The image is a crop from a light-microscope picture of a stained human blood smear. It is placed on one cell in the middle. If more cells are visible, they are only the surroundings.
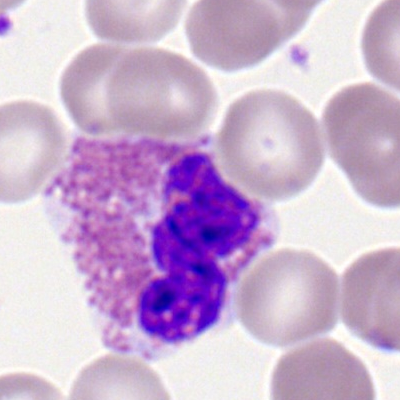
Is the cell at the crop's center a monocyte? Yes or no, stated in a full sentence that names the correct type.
No, the centre of the crop contains an eosinophil rather than a monocyte.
